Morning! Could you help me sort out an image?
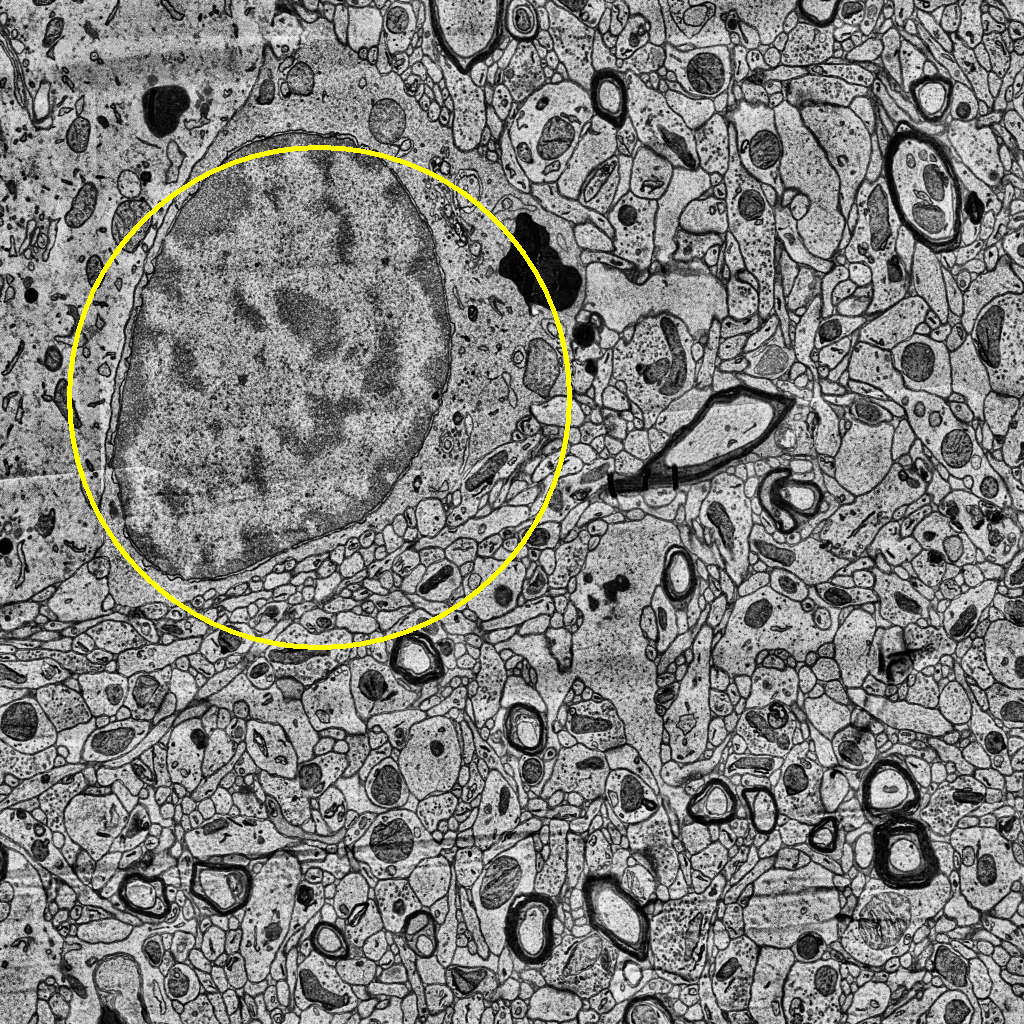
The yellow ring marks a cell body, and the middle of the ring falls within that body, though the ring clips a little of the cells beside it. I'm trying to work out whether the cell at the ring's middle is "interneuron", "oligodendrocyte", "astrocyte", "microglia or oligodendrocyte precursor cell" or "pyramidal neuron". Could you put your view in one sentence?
The cell body at the ring's middle is that of an oligodendrocyte.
